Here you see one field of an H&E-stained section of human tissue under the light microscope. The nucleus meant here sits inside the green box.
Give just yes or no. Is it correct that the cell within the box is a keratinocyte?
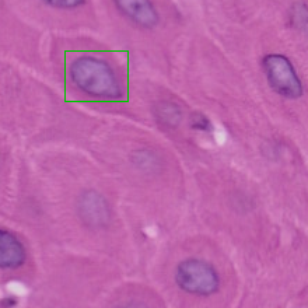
yes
